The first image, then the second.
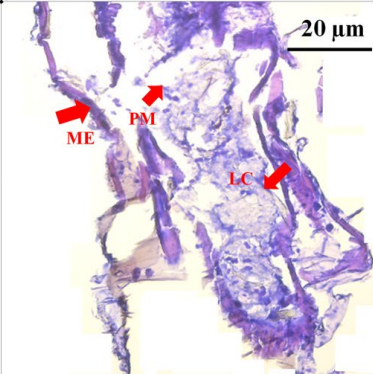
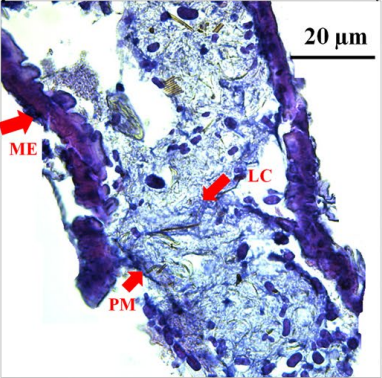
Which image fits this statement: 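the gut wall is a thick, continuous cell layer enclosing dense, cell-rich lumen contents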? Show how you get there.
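The second image. Second image: the lumen is densely filled with material and many dark round nuclei.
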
